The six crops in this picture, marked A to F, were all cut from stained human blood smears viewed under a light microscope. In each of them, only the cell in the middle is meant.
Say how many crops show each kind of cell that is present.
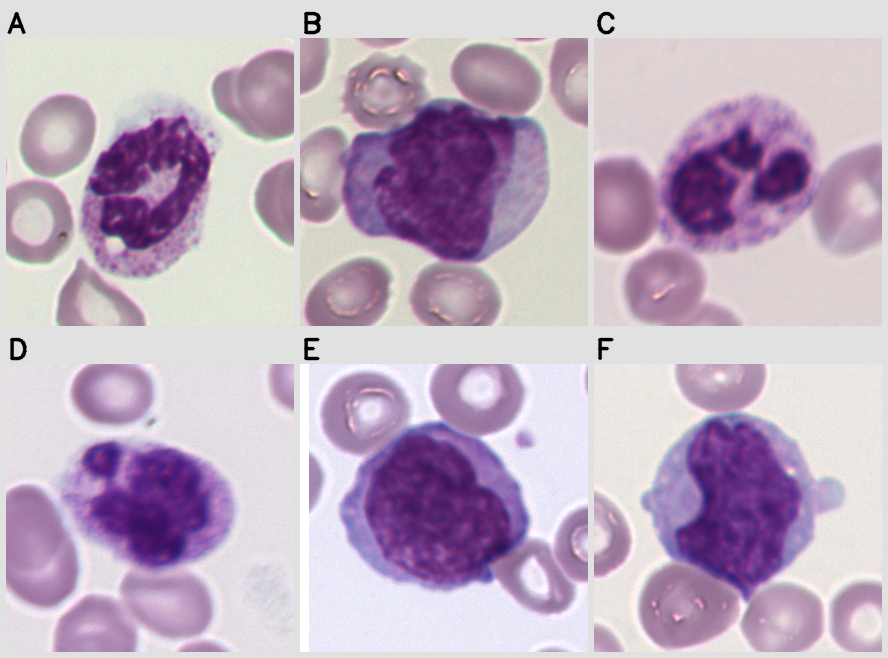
neutrophil: 3
atypical promyelocyte: 3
